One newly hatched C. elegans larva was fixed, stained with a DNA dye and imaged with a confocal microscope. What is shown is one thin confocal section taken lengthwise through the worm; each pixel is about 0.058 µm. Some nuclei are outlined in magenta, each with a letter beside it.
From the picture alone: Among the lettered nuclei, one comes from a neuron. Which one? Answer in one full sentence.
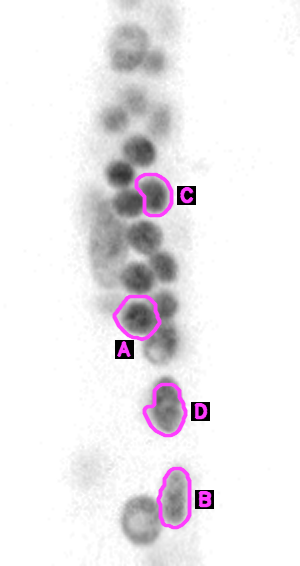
It is C that belongs to a neuron.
